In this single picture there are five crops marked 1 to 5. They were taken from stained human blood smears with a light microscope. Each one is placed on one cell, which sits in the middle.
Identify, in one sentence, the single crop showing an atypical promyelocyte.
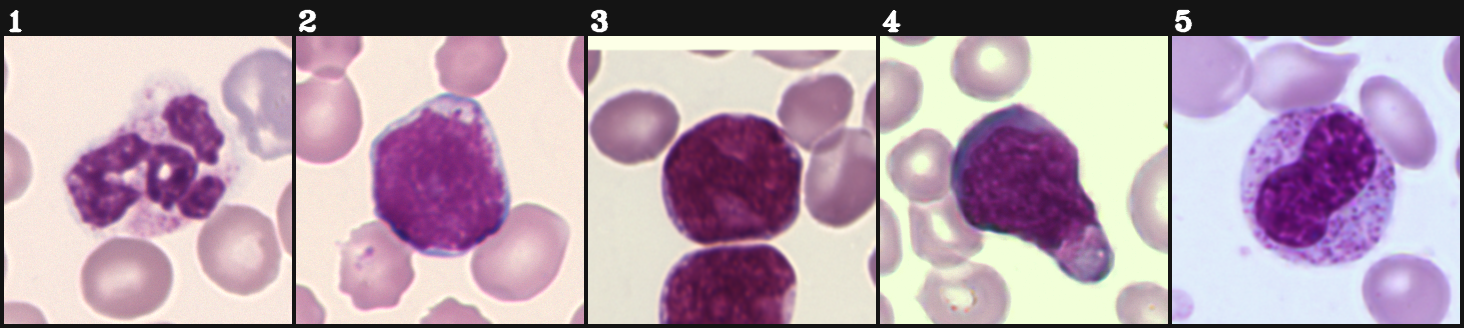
The one showing an atypical promyelocyte is the crop labelled 4.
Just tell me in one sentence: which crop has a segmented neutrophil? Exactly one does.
It is crop 1 that shows a segmented neutrophil.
